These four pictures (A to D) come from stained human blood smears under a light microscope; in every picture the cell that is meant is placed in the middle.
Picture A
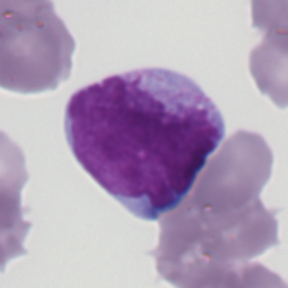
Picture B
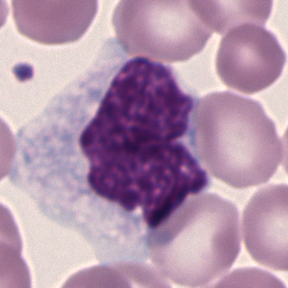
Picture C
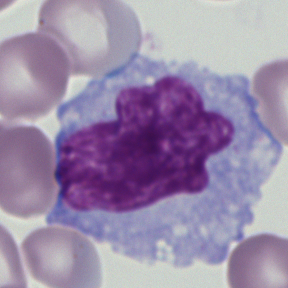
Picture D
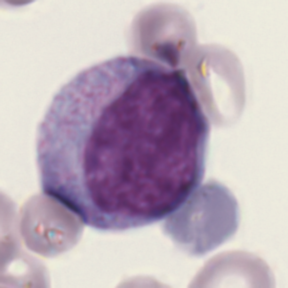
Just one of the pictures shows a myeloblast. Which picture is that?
A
